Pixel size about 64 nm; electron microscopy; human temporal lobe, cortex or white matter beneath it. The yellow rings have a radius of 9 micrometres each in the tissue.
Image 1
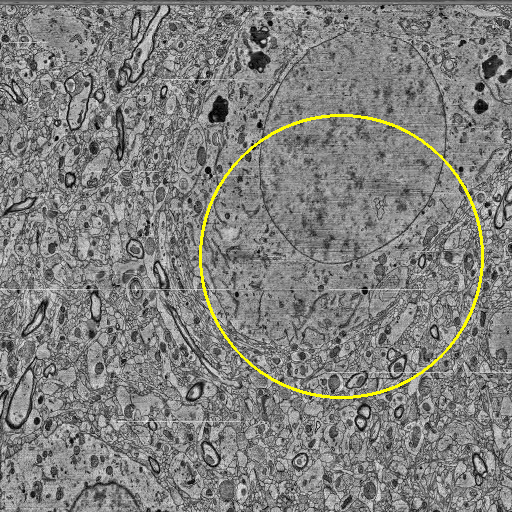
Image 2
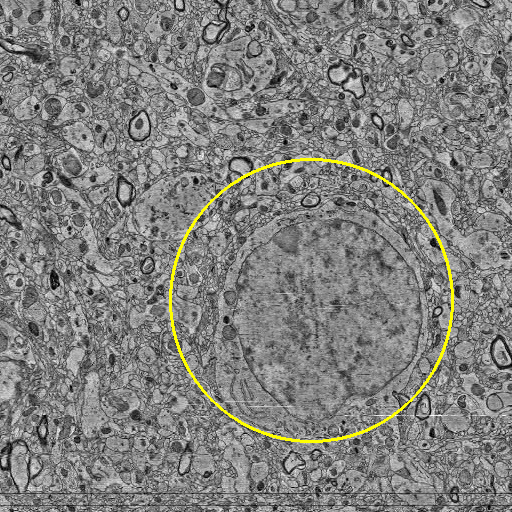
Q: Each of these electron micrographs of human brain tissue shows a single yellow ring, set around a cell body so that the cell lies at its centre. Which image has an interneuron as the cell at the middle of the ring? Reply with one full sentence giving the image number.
In image 2, the cell lying at the ring's centre is the requested one.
